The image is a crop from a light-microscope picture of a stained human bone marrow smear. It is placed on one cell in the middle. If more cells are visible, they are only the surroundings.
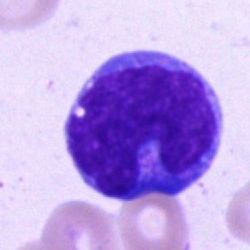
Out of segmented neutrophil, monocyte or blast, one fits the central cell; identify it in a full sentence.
By type, the central cell of the crop is a monocyte.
